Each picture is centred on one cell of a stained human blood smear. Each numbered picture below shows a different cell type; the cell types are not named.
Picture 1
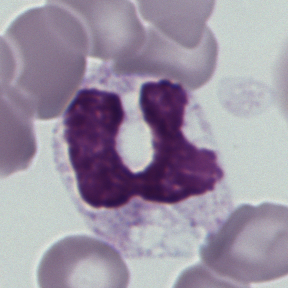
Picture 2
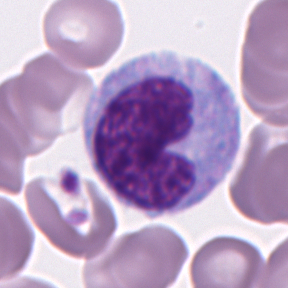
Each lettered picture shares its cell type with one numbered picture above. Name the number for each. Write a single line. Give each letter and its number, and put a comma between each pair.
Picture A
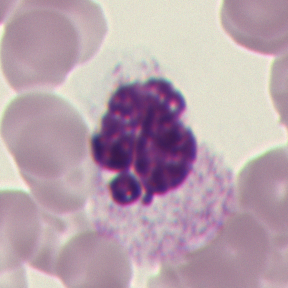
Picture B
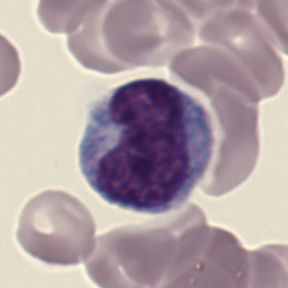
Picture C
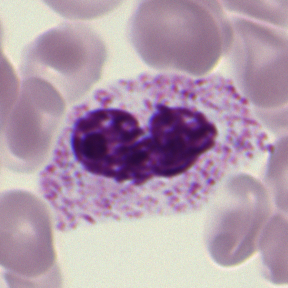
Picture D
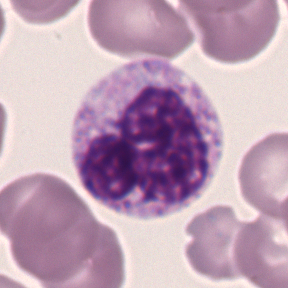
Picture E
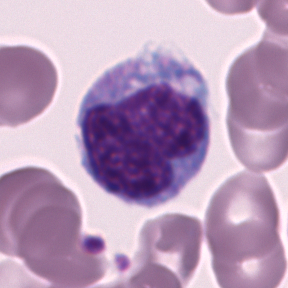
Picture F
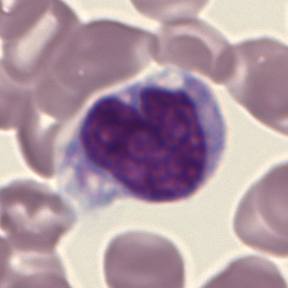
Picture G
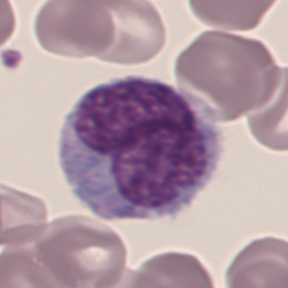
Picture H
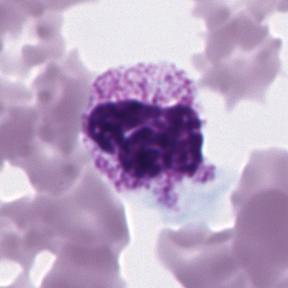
A 1, B 2, C 1, D 1, E 2, F 2, G 2, H 1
